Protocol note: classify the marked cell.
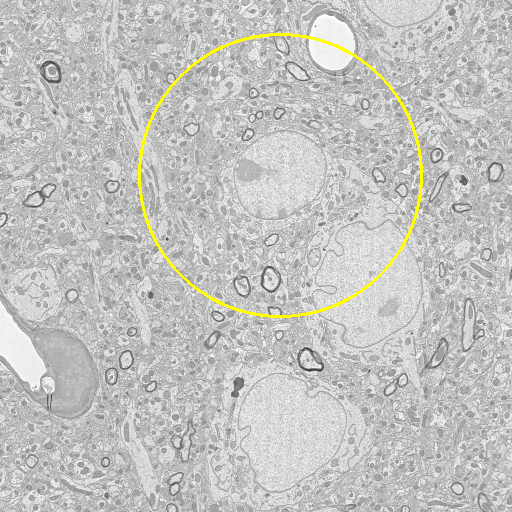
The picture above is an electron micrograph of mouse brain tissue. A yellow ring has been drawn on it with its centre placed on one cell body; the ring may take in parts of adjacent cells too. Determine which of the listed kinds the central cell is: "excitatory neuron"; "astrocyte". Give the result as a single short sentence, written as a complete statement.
The central cell is an astrocyte.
